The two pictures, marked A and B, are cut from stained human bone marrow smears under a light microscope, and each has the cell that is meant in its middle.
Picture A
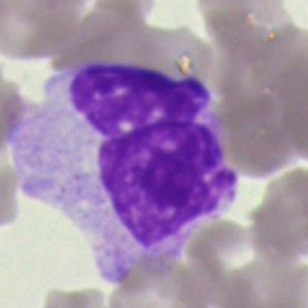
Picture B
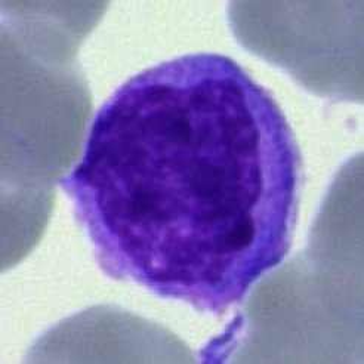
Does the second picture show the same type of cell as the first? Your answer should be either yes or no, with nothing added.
yes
